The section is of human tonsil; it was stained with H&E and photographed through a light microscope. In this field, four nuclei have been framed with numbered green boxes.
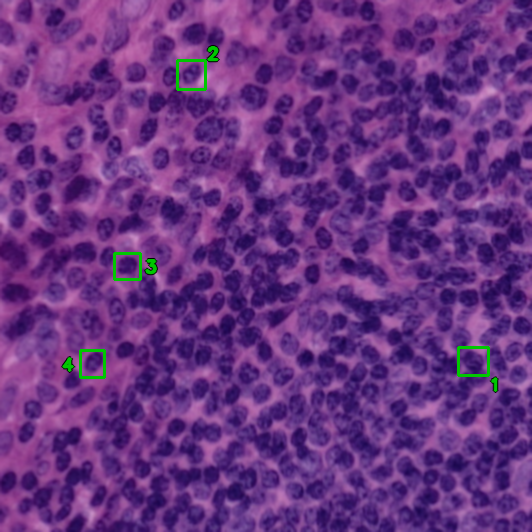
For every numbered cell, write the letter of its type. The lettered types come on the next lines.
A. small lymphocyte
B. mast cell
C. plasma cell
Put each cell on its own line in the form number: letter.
1: A
2: C
3: C
4: C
